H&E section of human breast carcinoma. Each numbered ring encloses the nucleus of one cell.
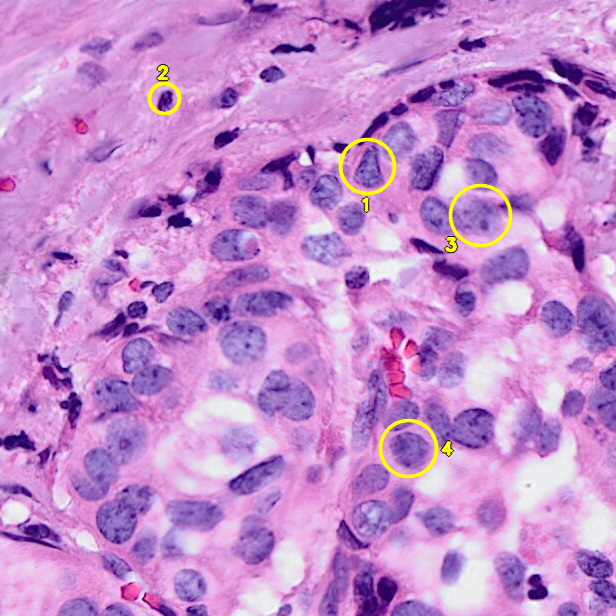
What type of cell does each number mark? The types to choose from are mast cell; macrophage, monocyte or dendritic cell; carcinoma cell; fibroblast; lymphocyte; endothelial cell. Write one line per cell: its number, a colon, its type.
1: carcinoma cell
2: lymphocyte
3: carcinoma cell
4: carcinoma cell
